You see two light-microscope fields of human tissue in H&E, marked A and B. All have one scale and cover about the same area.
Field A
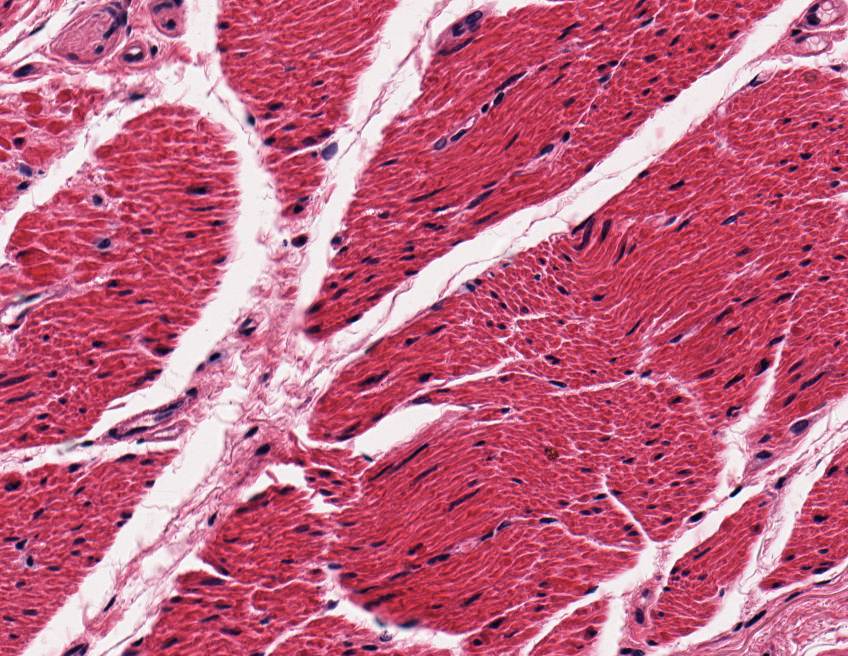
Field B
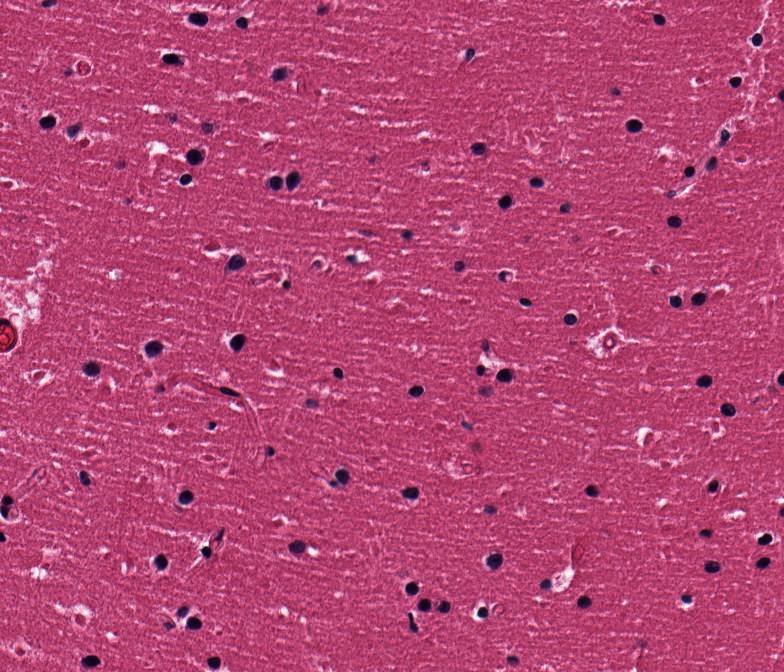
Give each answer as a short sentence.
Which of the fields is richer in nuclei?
More nuclei lie in field A than in field B.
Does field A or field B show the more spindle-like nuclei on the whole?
Longer, more slender nuclei lie in field A.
